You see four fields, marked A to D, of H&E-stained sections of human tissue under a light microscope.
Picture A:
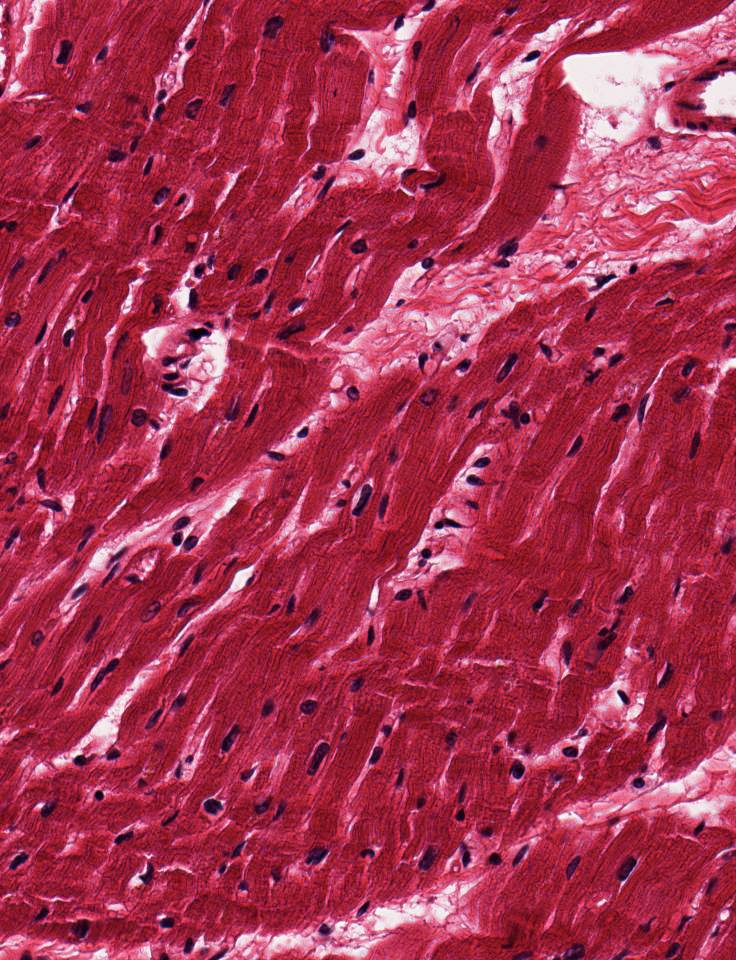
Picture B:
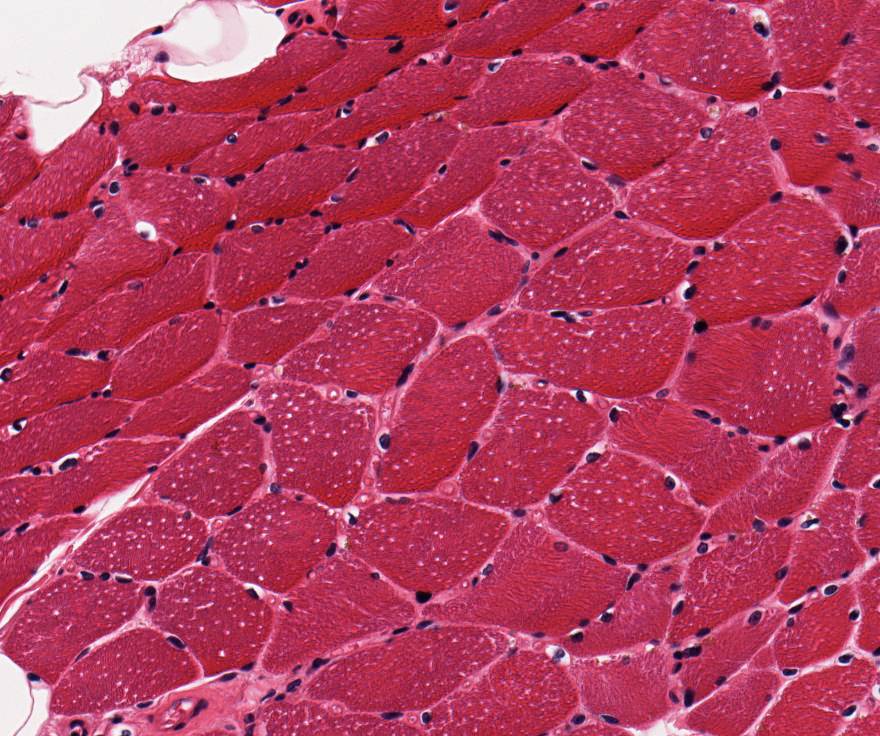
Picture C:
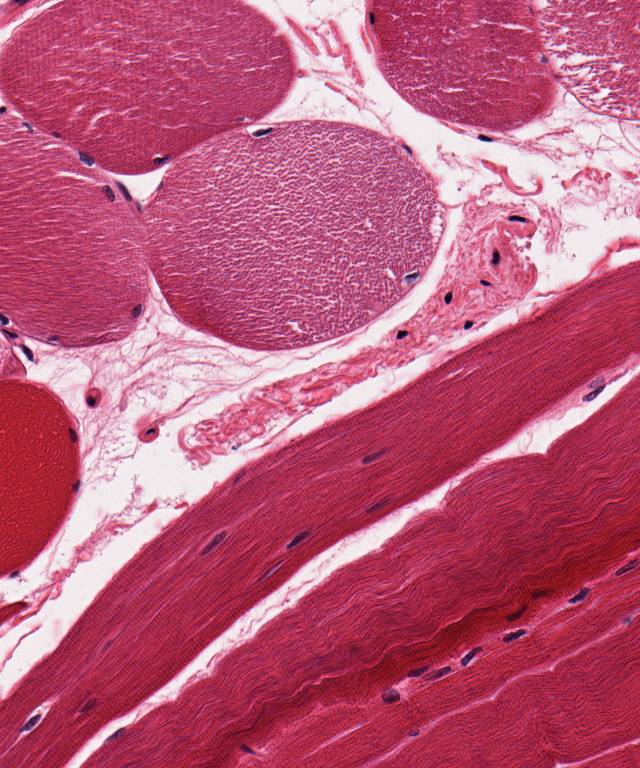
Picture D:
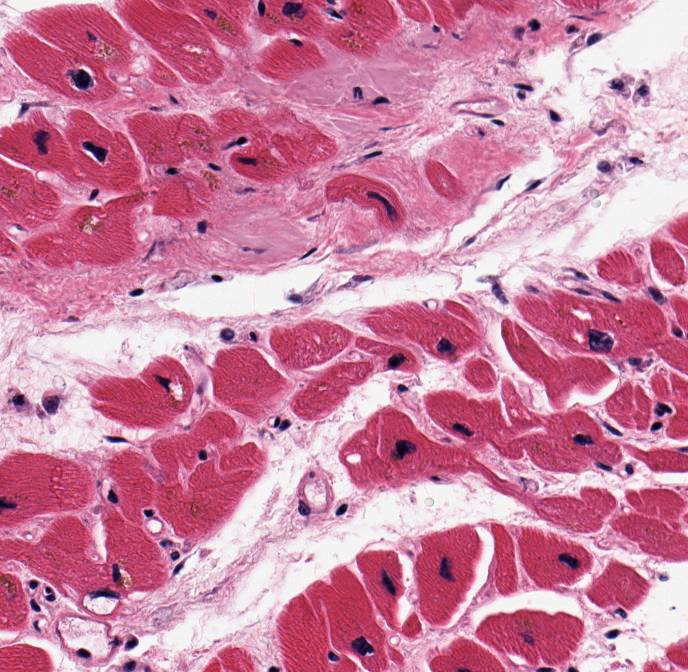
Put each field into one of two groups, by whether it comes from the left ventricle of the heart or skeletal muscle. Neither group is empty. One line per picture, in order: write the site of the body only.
left ventricle of the heart
skeletal muscle
skeletal muscle
left ventricle of the heart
